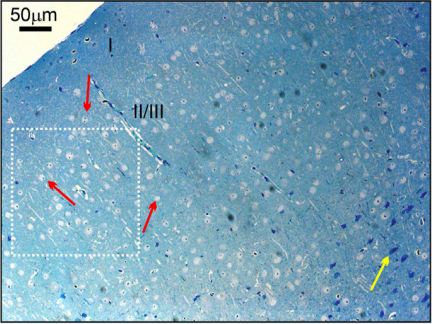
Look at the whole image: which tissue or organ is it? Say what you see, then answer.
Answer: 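A smooth pial surface runs along the upper left edge. A cell-poor superficial zone lies beneath the surface, above a zone of scattered neuronal cell bodies.
Cerebral cortex.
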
